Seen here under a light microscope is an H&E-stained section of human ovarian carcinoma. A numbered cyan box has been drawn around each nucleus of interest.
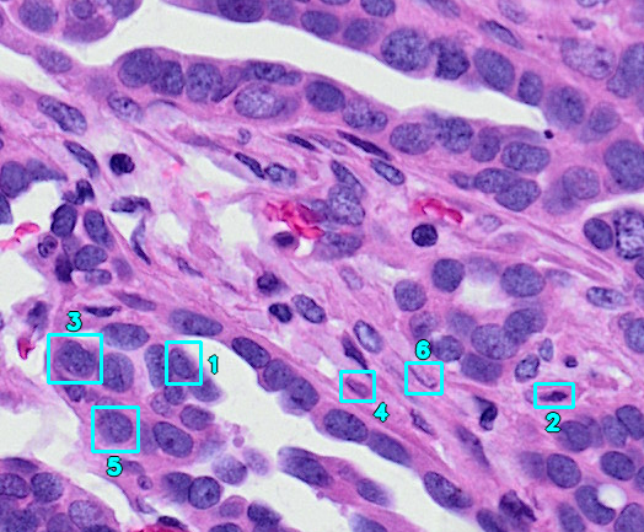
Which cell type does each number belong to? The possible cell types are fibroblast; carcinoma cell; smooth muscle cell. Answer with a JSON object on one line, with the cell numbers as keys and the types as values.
{"1": "carcinoma cell", "2": "fibroblast", "3": "carcinoma cell", "4": "fibroblast", "5": "carcinoma cell", "6": "fibroblast"}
